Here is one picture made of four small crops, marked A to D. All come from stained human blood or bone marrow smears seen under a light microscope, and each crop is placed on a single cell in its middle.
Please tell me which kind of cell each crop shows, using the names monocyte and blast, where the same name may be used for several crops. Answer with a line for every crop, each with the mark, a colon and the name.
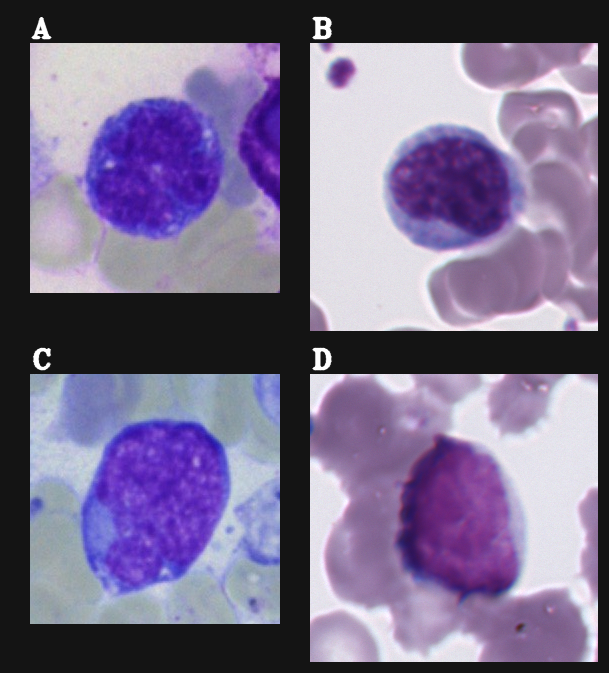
A: monocyte
B: monocyte
C: blast
D: blast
